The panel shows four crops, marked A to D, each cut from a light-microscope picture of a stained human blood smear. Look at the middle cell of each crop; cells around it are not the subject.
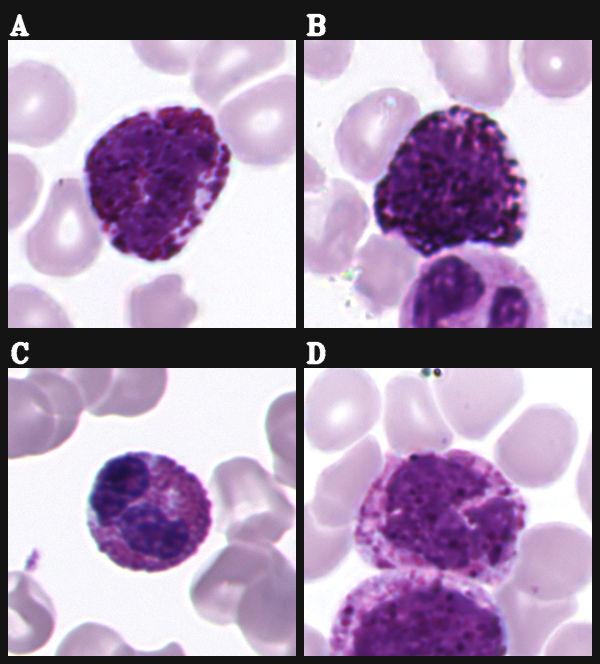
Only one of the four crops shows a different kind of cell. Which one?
C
